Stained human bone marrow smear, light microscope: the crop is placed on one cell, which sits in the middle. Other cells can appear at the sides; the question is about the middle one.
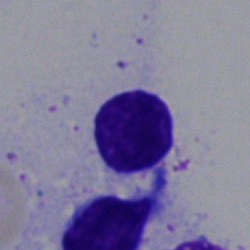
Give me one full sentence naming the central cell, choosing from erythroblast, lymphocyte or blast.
The crop centres on a single cell, and that cell is a lymphocyte.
